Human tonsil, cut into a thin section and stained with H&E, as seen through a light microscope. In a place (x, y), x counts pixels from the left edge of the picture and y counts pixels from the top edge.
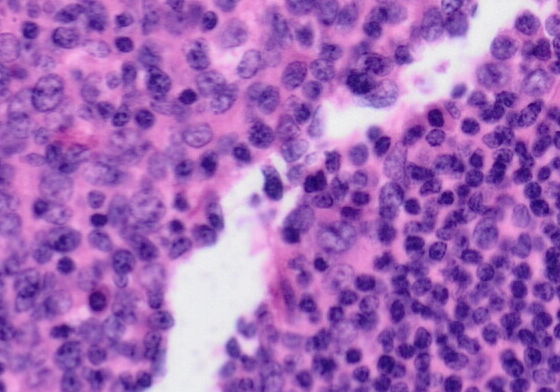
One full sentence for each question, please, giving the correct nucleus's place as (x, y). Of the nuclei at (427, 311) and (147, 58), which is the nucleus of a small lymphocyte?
The nucleus at (427, 311) is assigned to a small lymphocyte.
